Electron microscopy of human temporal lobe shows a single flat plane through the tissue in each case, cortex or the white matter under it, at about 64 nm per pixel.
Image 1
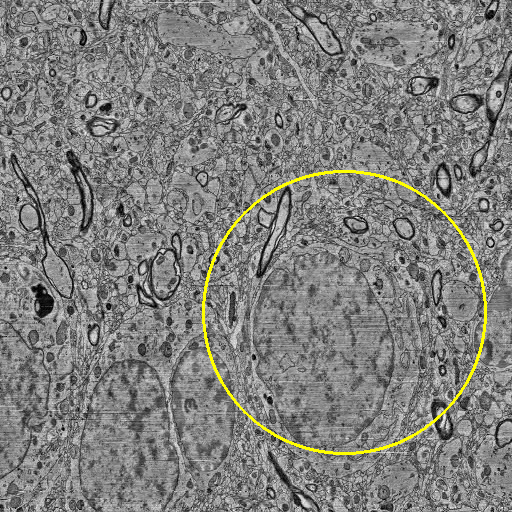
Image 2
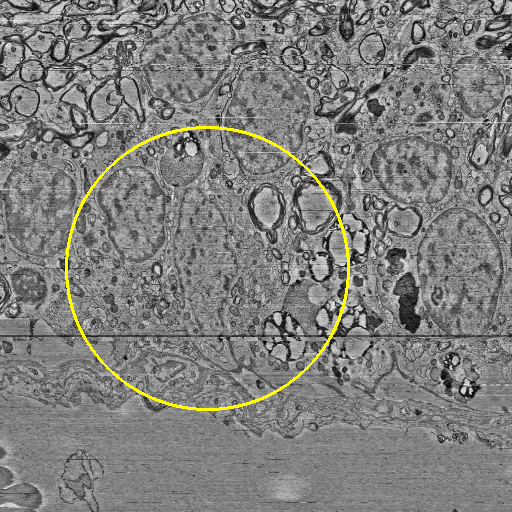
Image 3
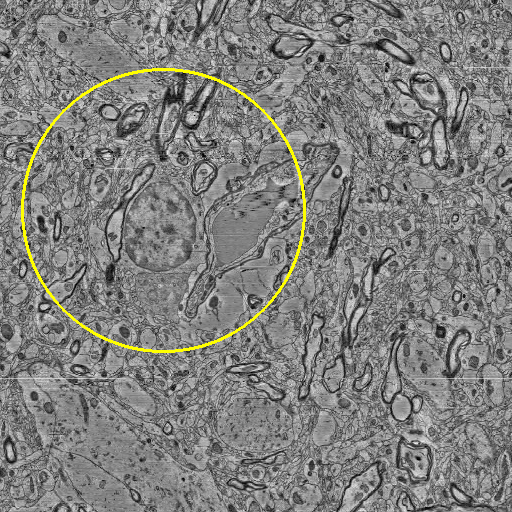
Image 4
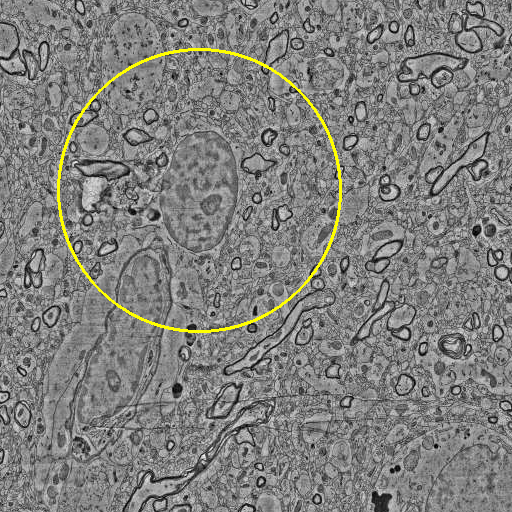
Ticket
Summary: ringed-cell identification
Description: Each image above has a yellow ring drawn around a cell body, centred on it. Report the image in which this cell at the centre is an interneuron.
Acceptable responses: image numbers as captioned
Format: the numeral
1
